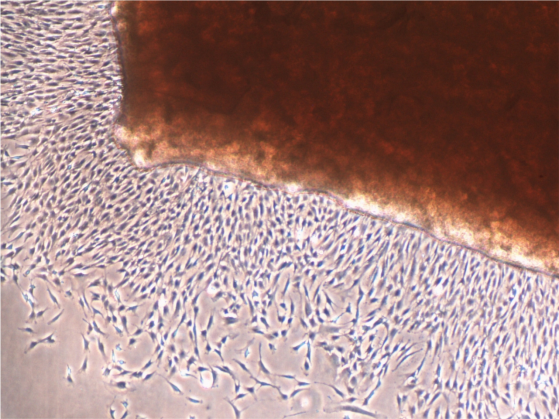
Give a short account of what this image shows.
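Next to the fragment's edge the outgrowing cells are packed closely in a band and are mostly oriented away from the fragment. Farther from the edge the cells become sparser, with bare dish visible between them. The cells are spindle-shaped to stellate, with dark oval nuclei and thin cytoplasmic processes, and the most peripheral cells are the most spread and branched.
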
